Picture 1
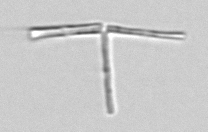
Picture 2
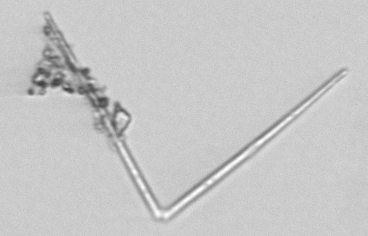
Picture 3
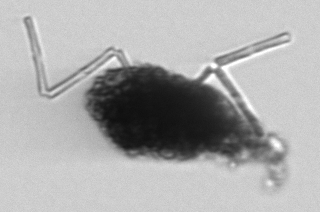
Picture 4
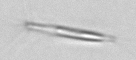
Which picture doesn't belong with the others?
Picture 4.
